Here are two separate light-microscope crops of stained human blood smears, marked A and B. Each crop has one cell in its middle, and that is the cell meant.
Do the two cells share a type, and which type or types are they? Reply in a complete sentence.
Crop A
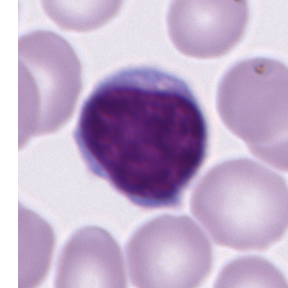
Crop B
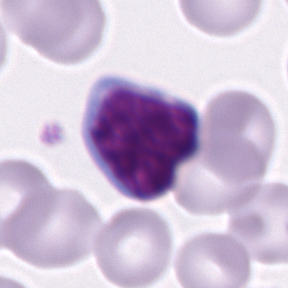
Yes, as an answer for this item, both crops show typical lymphocytes.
